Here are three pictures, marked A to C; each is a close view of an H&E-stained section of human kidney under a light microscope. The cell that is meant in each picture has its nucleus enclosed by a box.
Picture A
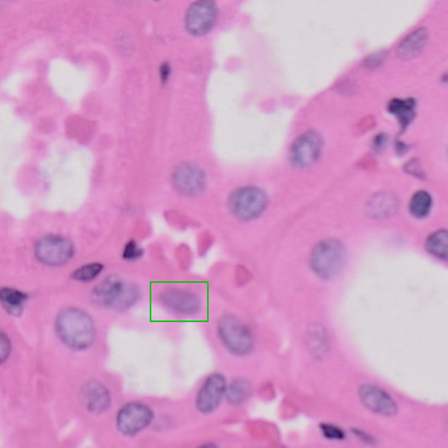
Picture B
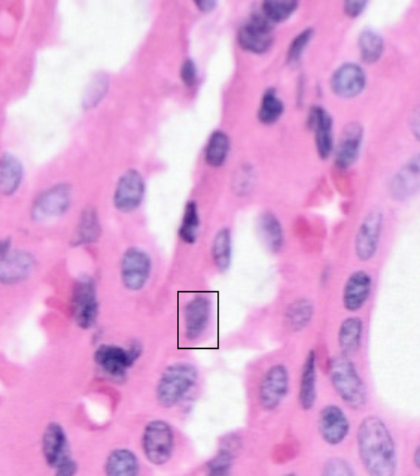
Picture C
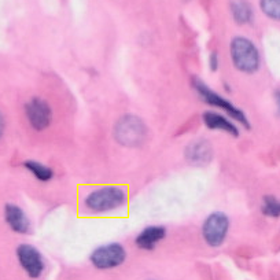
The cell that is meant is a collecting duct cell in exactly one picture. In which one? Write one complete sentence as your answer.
It is picture A that shows the collecting duct cell.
